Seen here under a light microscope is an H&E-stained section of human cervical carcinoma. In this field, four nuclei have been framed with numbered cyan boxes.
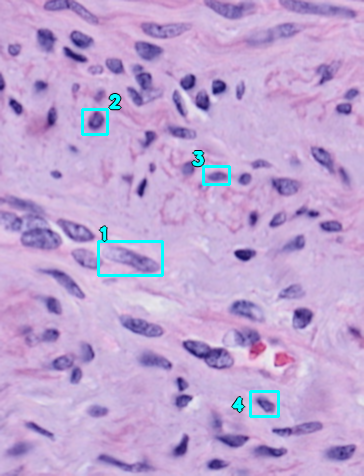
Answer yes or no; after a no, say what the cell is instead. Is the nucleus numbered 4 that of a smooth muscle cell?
No, it is a fibroblast.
